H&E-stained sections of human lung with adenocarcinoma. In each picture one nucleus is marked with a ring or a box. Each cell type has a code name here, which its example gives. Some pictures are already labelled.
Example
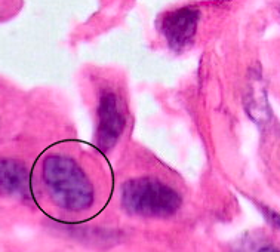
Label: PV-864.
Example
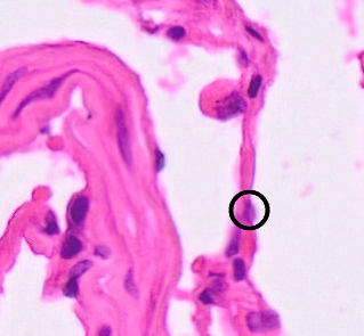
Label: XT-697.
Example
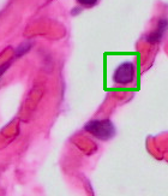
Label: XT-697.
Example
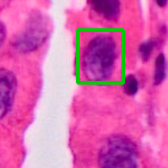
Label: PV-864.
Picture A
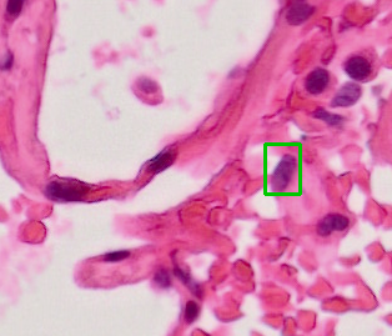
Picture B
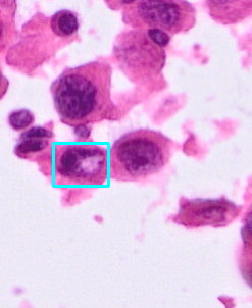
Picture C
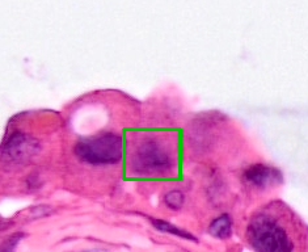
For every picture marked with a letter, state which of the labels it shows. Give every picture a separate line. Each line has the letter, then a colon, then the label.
A: XT-697.
B: PV-864.
C: PV-864.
